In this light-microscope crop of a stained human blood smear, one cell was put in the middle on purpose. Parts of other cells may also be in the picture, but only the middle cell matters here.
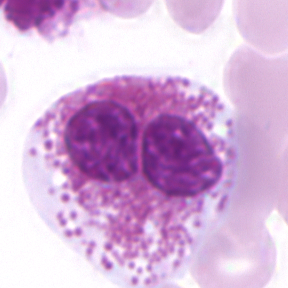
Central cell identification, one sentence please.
The cell nearest the centre of this crop is an eosinophil.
